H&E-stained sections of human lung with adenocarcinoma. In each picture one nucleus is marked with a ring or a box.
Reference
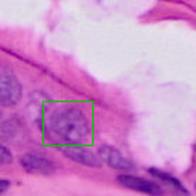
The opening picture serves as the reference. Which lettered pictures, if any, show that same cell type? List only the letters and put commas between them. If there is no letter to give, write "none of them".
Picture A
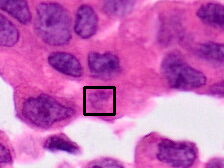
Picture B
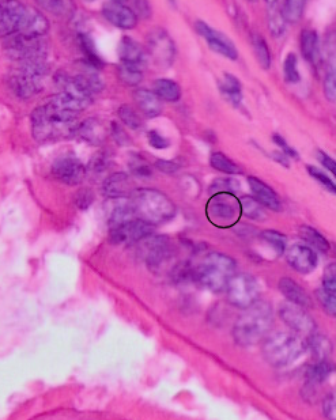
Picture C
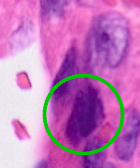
B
